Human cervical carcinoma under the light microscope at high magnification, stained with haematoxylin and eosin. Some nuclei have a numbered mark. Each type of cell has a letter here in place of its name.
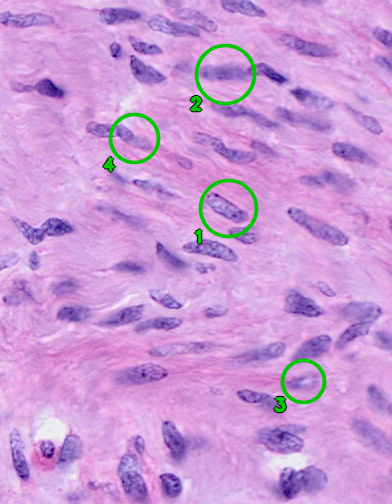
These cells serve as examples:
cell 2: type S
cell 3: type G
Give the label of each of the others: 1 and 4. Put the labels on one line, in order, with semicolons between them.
type G; type G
